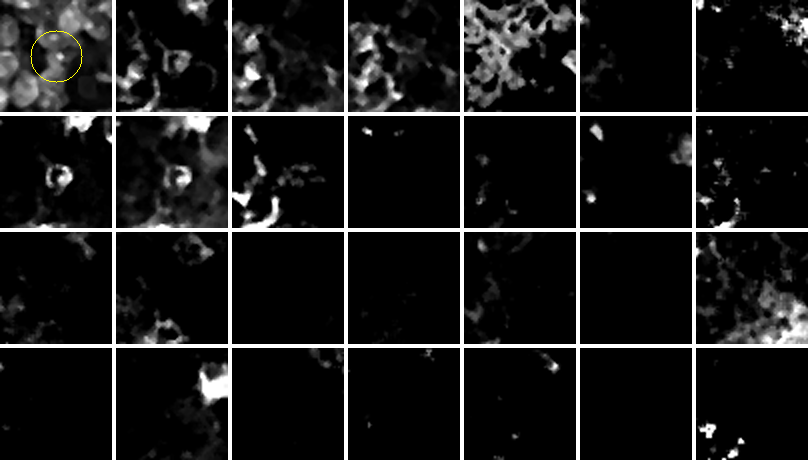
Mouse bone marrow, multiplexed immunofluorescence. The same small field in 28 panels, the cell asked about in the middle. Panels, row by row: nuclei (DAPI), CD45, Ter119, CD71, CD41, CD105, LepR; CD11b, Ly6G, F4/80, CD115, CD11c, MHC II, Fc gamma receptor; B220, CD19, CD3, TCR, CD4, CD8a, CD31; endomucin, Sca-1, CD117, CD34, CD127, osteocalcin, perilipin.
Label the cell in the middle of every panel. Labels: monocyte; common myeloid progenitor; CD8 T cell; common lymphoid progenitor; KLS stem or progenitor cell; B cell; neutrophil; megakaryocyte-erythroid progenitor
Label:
neutrophil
